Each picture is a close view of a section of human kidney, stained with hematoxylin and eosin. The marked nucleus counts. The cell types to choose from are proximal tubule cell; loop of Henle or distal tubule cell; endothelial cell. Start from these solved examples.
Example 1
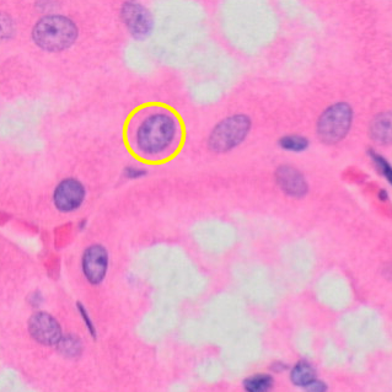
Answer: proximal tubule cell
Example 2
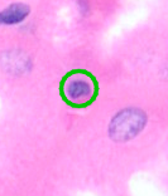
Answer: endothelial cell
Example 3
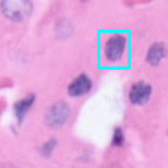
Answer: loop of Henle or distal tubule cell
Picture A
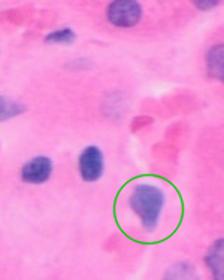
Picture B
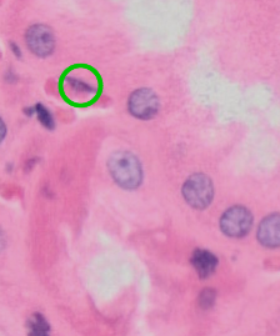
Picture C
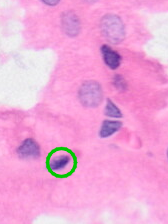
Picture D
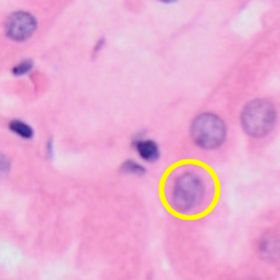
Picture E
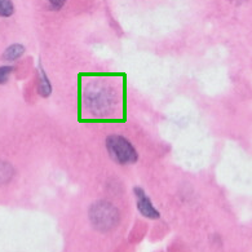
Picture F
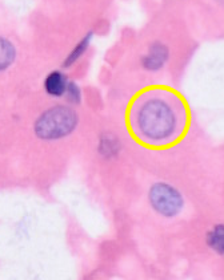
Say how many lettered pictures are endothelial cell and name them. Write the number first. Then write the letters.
3: A, B, C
